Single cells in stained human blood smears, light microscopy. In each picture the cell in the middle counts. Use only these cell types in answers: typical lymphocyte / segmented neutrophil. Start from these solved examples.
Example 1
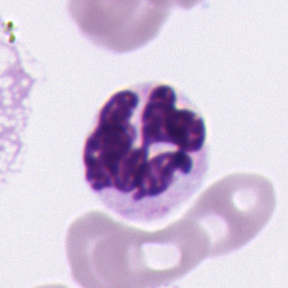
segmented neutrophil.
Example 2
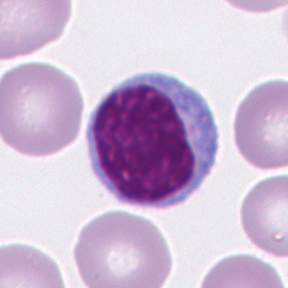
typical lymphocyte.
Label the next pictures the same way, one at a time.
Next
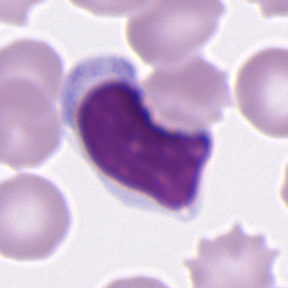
typical lymphocyte.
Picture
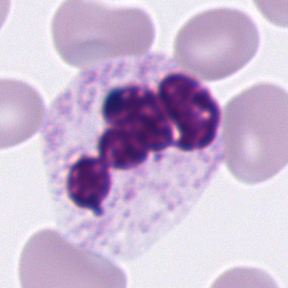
segmented neutrophil.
